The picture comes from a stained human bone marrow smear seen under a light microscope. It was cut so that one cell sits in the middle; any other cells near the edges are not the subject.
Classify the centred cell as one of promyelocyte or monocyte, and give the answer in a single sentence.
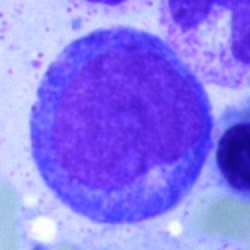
In the middle of this smear crop is a promyelocyte.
